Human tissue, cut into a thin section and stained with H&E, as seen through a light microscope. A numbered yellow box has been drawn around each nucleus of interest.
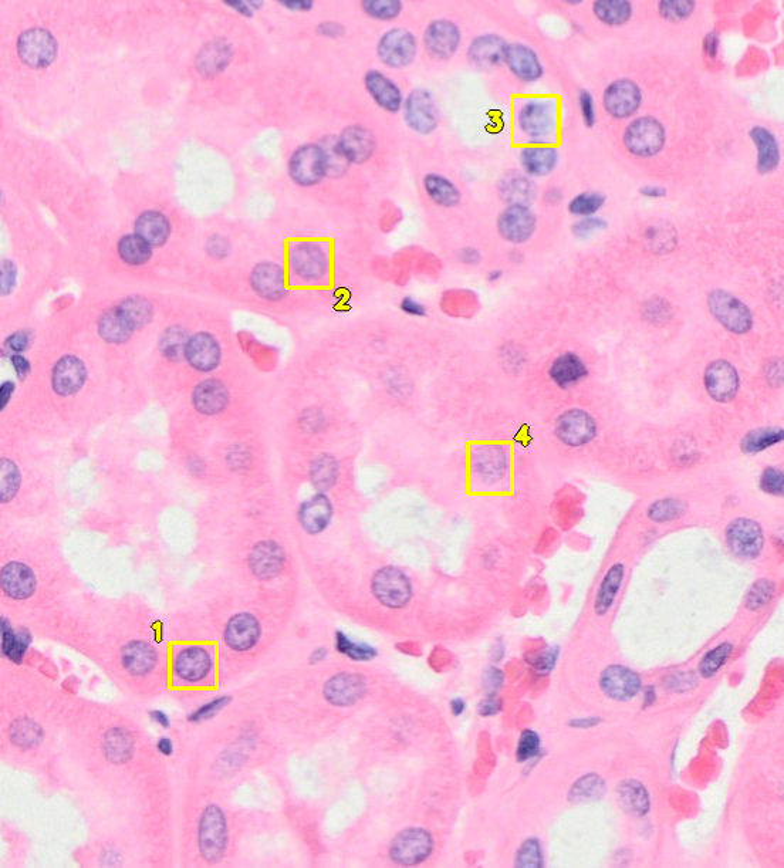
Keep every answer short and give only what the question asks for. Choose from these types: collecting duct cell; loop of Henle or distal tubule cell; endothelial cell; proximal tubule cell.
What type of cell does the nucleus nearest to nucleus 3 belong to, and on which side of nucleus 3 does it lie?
a collecting duct cell; below nucleus 3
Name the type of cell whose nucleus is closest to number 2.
proximal tubule cell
